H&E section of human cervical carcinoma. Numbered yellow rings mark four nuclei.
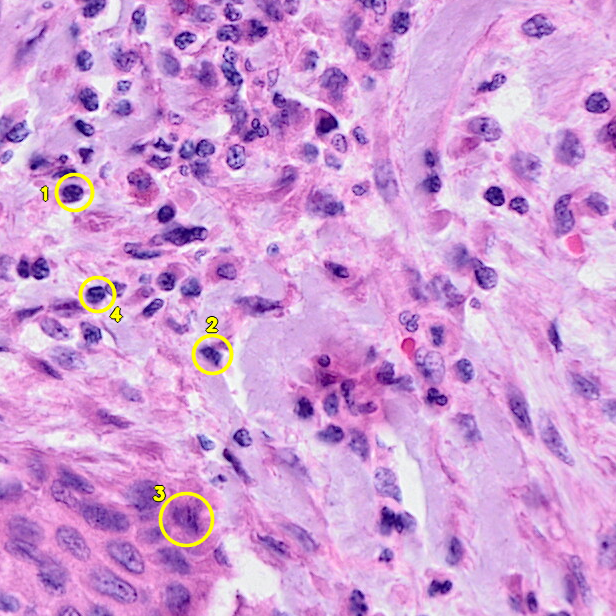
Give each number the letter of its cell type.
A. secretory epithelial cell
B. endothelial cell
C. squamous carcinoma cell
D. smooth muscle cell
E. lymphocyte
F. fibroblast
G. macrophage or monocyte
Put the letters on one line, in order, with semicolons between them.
E; E; C; E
